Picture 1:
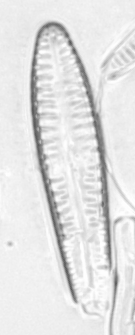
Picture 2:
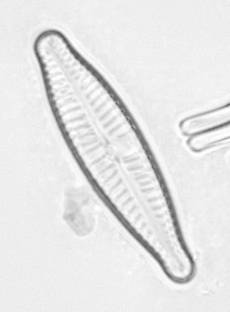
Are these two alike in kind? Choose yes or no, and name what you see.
Yes. Gomphonema.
